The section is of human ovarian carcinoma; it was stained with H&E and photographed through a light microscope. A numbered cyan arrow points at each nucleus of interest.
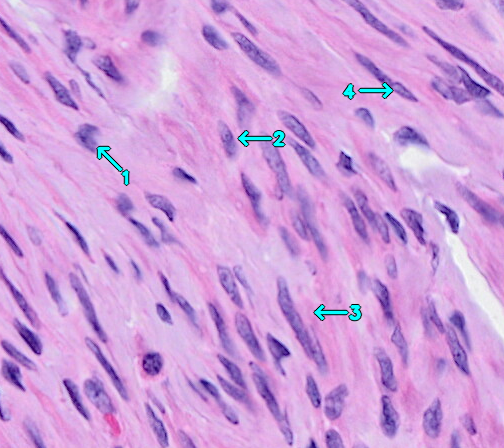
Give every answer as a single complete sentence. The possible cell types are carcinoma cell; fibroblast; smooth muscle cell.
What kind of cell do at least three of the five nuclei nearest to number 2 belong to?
Smooth muscle cells make up most of the five nuclei closest to number 2.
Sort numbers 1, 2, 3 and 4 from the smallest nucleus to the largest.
Smallest first, the nuclei run 4, 2, 1, 3.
